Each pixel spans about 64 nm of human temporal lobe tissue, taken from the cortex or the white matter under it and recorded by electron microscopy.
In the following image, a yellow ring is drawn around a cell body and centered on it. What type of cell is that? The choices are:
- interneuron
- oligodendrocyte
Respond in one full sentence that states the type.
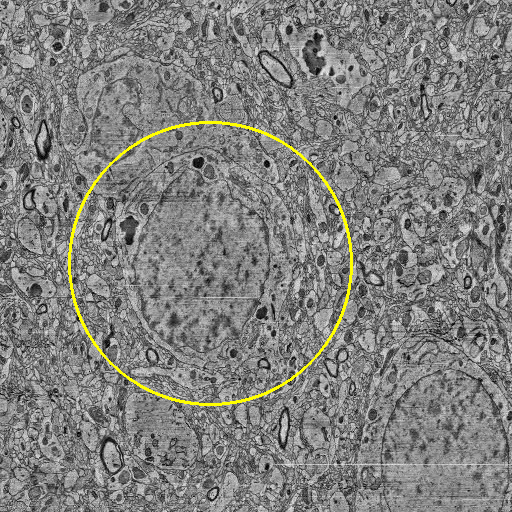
The cell at the center of the yellow ring in the image is an interneuron.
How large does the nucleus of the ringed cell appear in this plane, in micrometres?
The nucleus appears roughly 11 by 9 micrometres in this plane.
